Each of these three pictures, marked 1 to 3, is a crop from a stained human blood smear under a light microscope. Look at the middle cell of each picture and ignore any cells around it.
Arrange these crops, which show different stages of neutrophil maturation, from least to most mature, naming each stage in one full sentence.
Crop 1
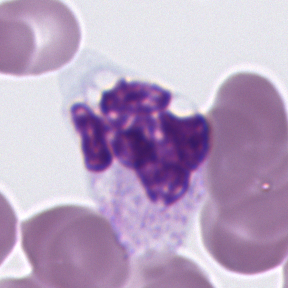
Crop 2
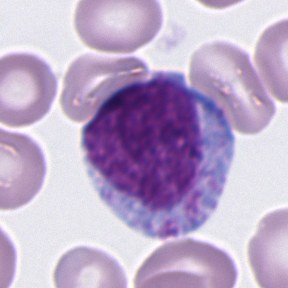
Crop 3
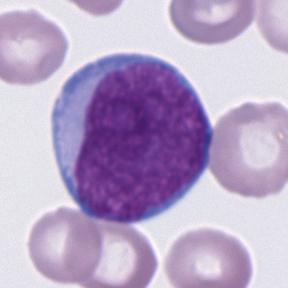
From the earliest stage onward, the order is crop 3 (a myeloblast), crop 2 (a myelocyte) and crop 1 (a segmented neutrophil).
